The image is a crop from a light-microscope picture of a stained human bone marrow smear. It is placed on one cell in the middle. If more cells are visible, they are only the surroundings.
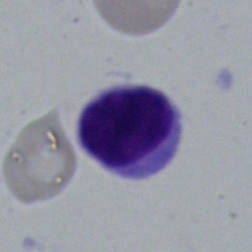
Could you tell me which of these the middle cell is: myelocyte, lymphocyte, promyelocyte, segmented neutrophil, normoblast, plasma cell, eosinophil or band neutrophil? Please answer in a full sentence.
Where the crop is centred, there is a lymphocyte.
